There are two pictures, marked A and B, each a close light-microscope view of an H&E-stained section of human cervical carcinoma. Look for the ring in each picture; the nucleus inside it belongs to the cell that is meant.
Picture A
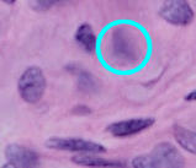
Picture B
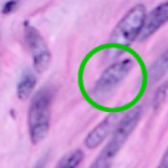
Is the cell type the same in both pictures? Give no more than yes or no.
no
